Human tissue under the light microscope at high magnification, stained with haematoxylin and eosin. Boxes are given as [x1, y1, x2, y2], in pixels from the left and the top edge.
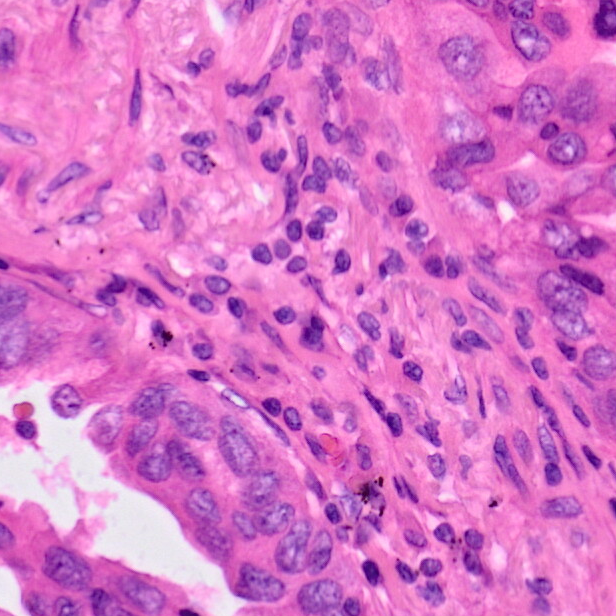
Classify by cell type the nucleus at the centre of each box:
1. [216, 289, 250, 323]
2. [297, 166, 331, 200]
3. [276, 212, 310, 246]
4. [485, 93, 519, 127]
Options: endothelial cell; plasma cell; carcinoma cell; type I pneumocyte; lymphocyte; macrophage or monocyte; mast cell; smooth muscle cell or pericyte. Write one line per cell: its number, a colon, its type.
1: lymphocyte
2: mast cell
3: lymphocyte
4: carcinoma cell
